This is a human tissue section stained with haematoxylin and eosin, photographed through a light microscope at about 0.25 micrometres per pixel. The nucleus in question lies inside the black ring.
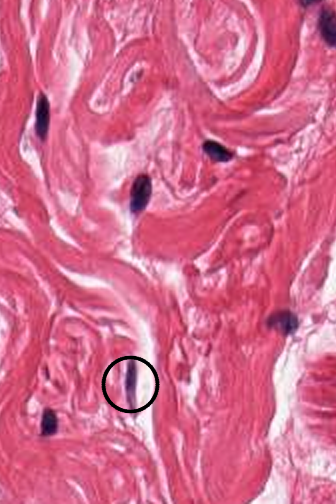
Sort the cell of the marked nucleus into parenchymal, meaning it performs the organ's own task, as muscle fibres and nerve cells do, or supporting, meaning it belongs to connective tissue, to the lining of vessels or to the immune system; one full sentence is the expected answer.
The marked nucleus is seen within a supporting cell.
